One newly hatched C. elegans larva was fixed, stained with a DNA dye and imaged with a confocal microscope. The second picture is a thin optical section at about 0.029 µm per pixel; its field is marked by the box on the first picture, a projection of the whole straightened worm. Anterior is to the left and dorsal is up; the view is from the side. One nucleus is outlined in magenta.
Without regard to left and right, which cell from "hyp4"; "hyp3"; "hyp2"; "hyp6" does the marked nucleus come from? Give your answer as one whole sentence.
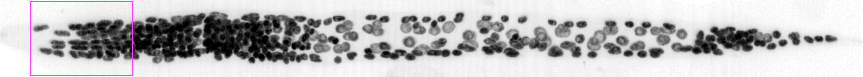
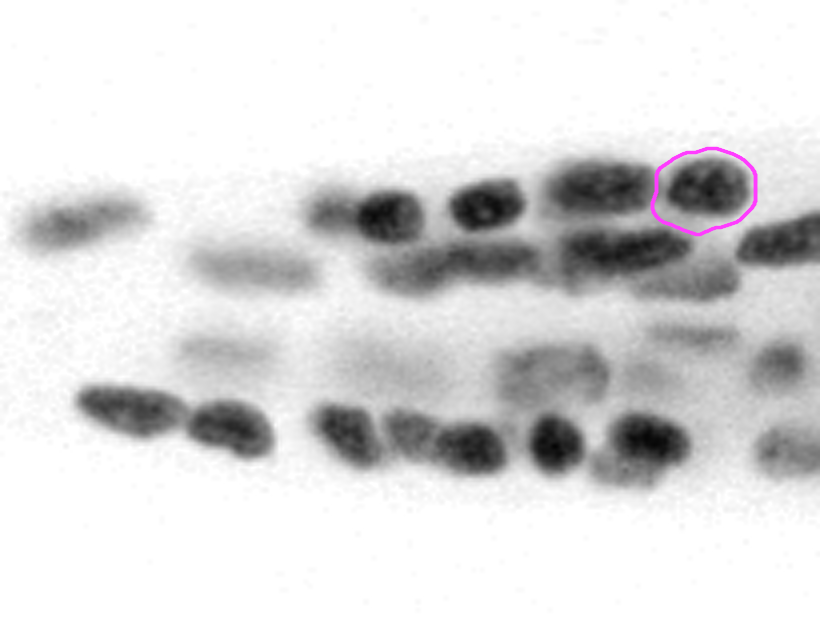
The nucleus is from hyp6, a hypodermal cell (hyp).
